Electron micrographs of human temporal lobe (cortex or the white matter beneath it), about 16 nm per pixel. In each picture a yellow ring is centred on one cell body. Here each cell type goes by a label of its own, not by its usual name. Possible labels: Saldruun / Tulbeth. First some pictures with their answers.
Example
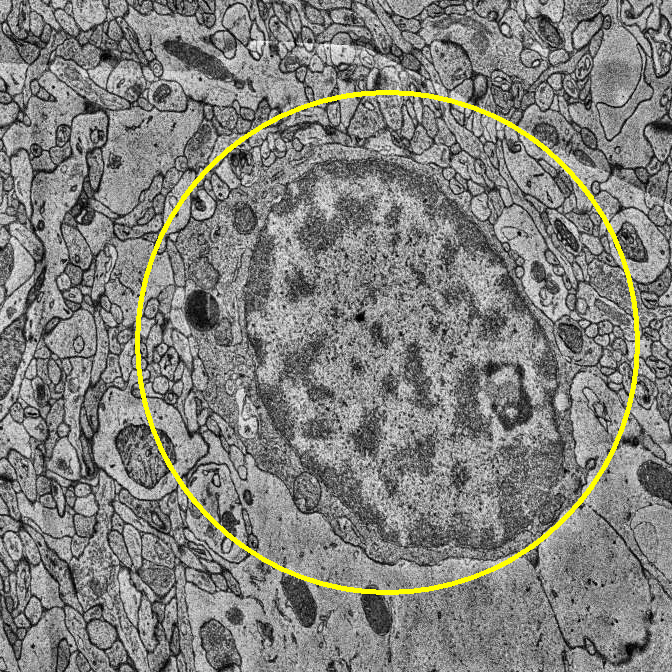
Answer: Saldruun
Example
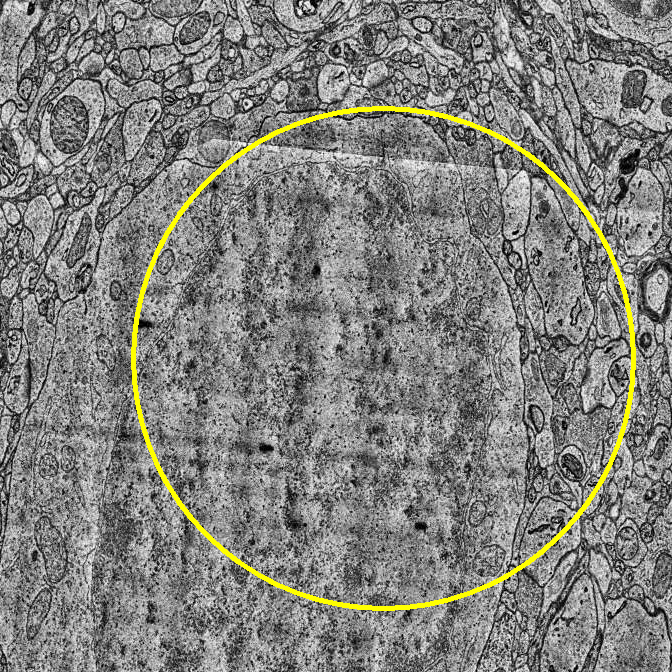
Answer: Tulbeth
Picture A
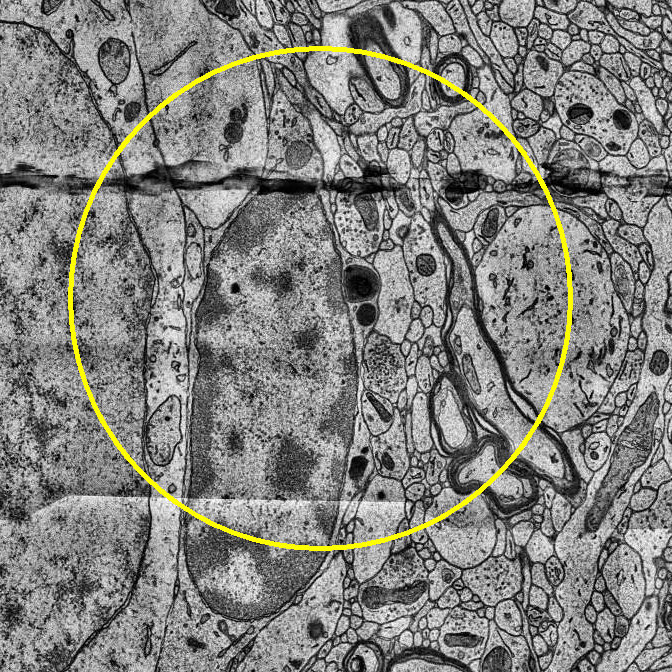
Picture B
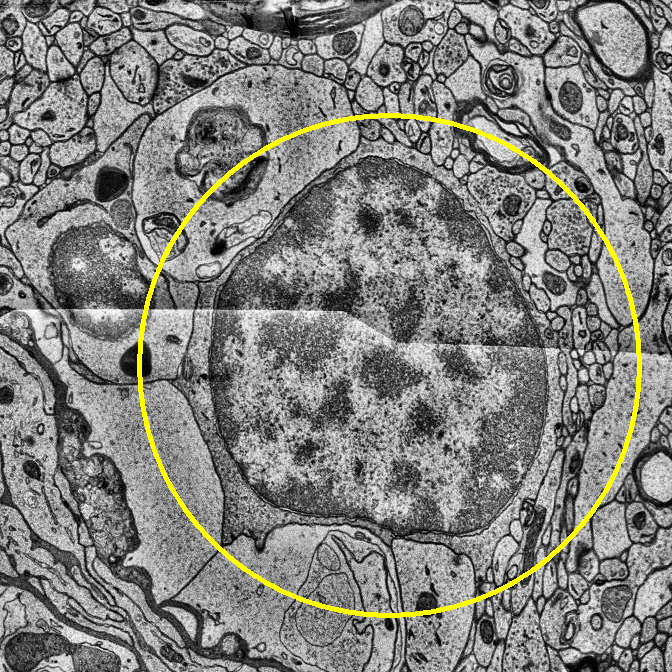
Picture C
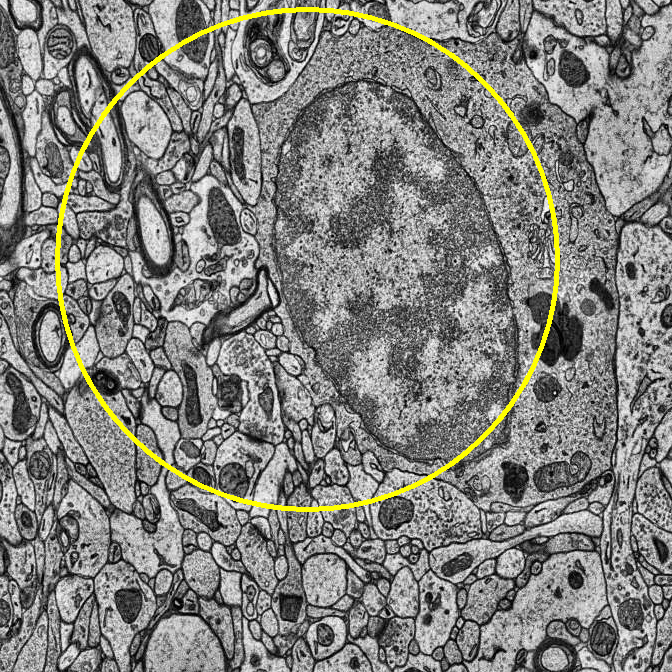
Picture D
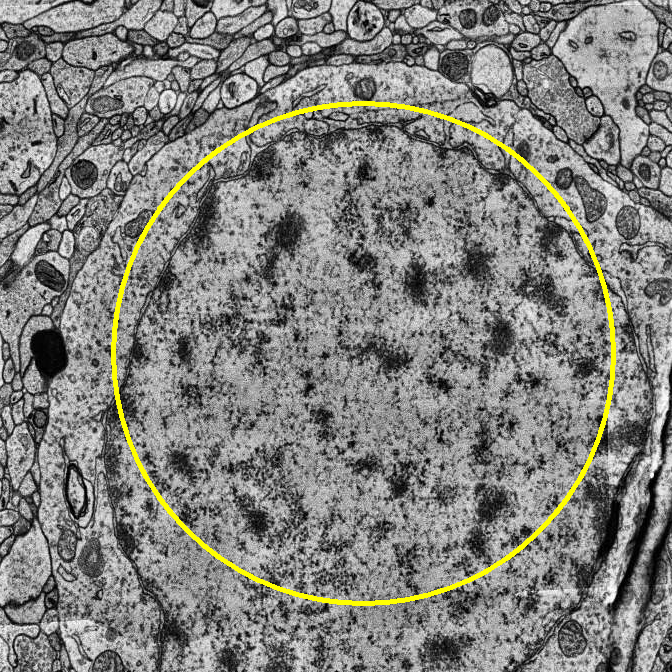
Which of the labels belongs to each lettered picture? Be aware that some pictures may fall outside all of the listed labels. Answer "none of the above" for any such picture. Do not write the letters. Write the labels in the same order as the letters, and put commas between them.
none of the above, Saldruun, Saldruun, Tulbeth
